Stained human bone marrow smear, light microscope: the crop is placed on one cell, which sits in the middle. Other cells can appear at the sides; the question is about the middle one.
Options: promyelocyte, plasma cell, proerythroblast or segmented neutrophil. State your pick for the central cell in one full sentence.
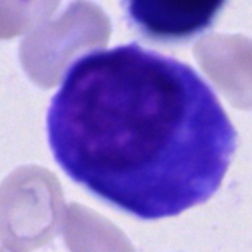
This crop has a plasma cell at its centre.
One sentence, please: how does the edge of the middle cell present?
Worth noting that the cell border is smooth and lacks projections.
